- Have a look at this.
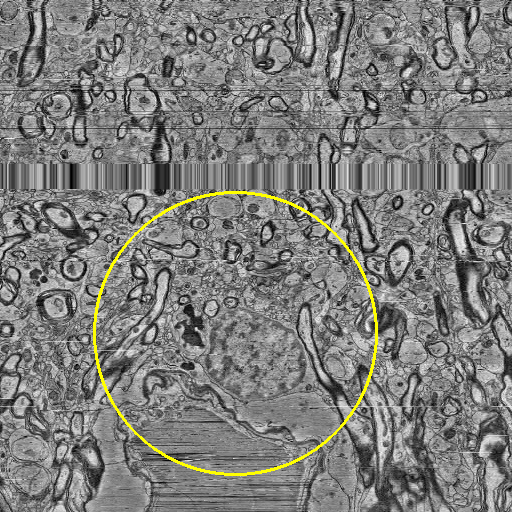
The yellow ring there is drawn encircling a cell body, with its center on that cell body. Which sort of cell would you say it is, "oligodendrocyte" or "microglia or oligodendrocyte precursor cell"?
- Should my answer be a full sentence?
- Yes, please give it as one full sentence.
For this picture, an oligodendrocyte is the cell where the yellow ring has its center.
